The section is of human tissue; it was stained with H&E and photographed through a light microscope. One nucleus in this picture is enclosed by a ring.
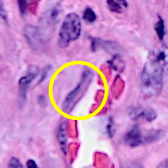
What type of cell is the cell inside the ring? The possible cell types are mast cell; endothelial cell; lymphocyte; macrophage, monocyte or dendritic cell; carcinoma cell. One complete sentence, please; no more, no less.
In the tissue at hand, the cell inside the ring is an endothelial cell.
